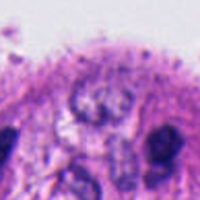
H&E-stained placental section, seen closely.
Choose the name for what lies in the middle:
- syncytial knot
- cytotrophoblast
cytotrophoblast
